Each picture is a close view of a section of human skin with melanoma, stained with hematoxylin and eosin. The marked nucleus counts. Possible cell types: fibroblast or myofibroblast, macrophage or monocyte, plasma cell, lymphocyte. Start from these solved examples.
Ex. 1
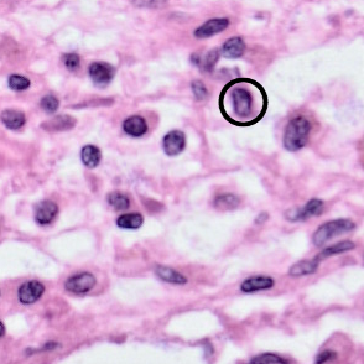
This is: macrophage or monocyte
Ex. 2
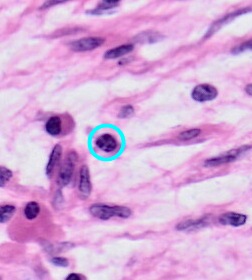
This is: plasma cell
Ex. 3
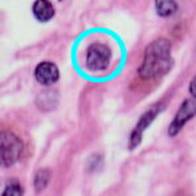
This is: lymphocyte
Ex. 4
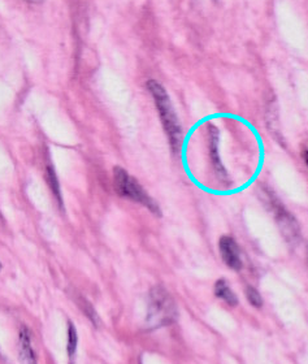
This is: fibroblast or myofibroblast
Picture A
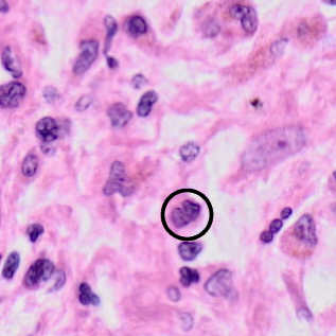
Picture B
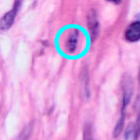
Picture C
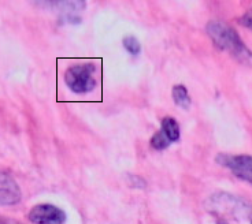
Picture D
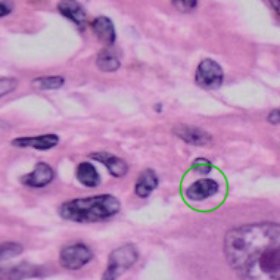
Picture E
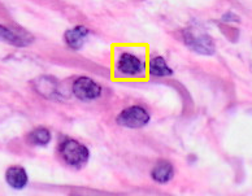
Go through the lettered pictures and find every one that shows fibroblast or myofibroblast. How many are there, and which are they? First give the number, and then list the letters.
0, none of them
